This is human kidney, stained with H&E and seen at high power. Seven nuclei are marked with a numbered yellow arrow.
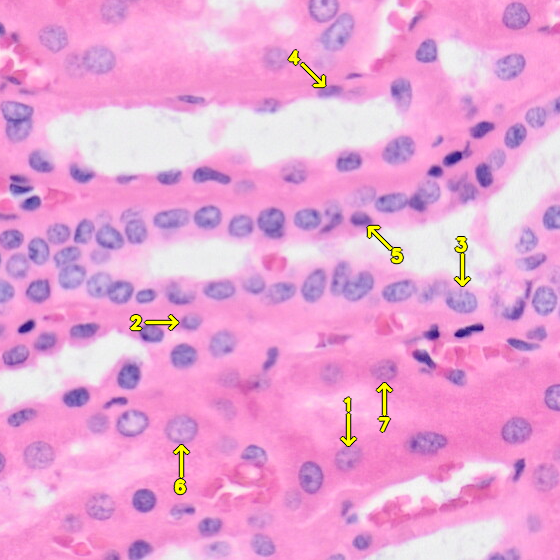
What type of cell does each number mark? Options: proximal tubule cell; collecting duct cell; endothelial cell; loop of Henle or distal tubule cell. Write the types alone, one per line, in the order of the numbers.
proximal tubule cell
loop of Henle or distal tubule cell
collecting duct cell
loop of Henle or distal tubule cell
collecting duct cell
proximal tubule cell
proximal tubule cell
